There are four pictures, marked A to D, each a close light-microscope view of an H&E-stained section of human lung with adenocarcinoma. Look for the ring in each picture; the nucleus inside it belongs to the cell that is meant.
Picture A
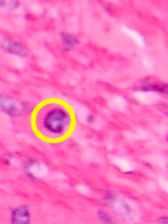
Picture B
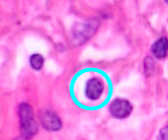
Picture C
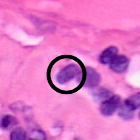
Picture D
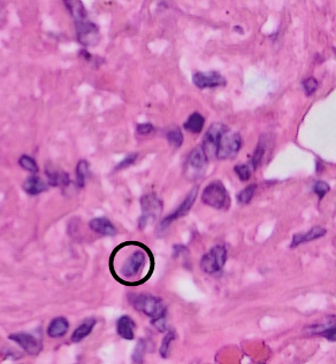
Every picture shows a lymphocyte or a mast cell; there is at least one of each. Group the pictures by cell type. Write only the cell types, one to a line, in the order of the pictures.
mast cell
lymphocyte
lymphocyte
mast cell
